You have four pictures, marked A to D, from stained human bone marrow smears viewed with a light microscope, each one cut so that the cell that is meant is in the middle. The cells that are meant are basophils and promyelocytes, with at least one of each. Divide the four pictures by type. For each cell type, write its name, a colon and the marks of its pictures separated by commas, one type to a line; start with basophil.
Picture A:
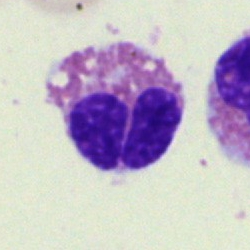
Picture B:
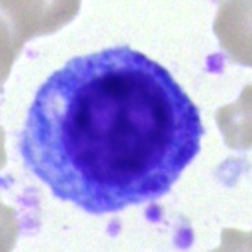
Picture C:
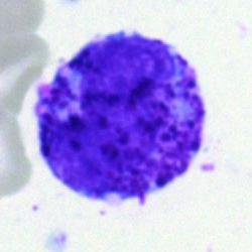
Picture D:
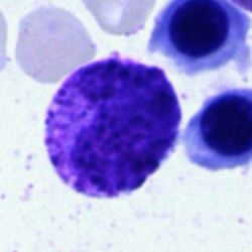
basophil: A, C, D
promyelocyte: B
